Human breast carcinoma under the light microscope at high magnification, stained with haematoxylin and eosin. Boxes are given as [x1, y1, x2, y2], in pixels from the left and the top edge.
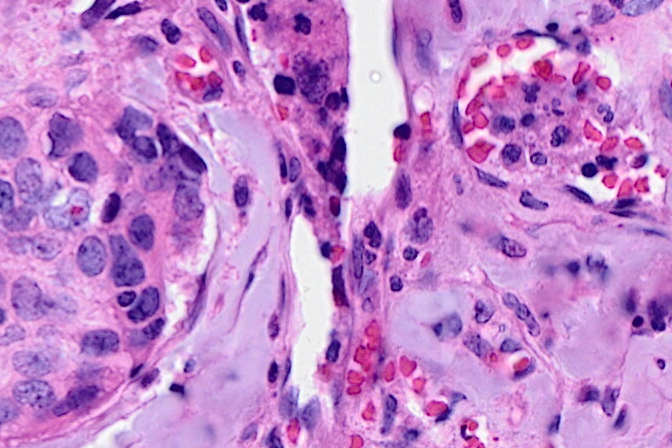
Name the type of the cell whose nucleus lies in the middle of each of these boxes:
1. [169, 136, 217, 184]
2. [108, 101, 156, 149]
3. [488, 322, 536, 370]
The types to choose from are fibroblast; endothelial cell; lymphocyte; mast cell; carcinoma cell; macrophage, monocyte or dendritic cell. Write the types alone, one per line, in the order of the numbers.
carcinoma cell
carcinoma cell
endothelial cell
